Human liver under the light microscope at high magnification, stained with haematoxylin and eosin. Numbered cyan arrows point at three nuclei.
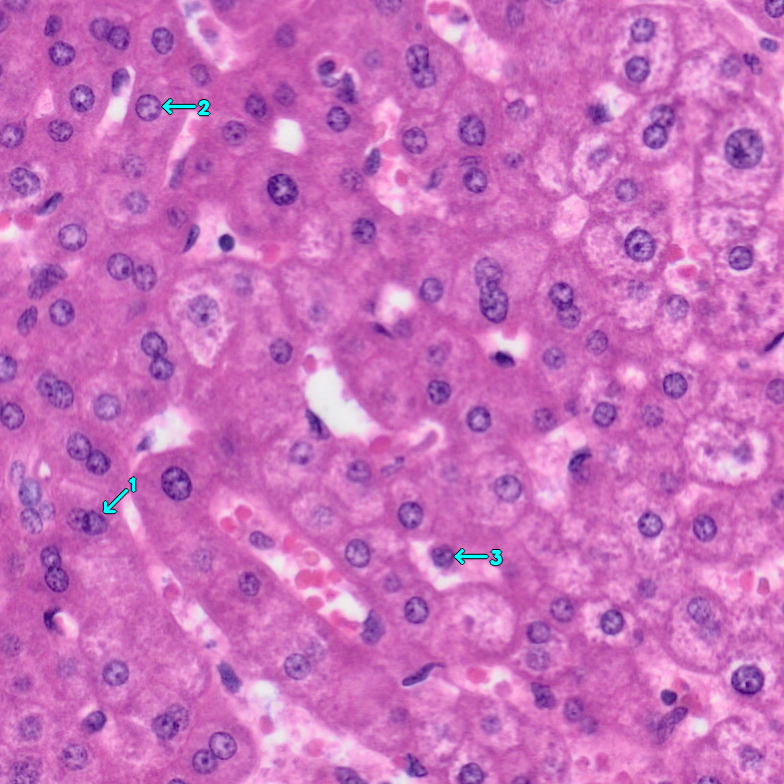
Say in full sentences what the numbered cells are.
Cell 1 is a hepatocyte, cell 2 is a hepatocyte and cell 3 is a Kupffer cell.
